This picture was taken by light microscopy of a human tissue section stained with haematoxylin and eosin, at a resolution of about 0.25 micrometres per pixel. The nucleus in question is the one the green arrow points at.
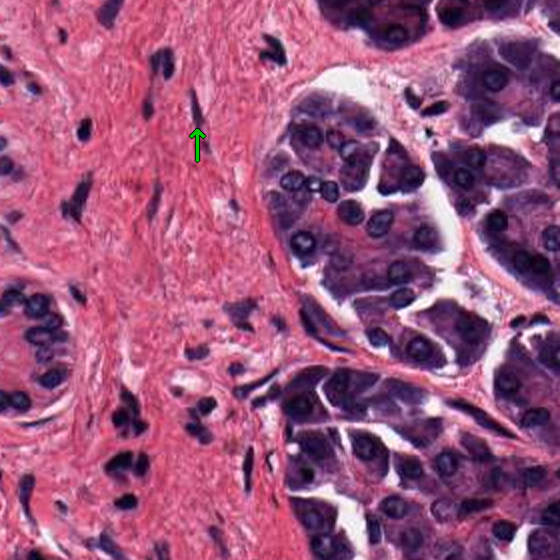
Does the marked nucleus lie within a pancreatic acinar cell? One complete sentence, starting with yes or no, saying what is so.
No, the cell to which the marked nucleus belongs is a supporting cell rather than a pancreatic acinar cell.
